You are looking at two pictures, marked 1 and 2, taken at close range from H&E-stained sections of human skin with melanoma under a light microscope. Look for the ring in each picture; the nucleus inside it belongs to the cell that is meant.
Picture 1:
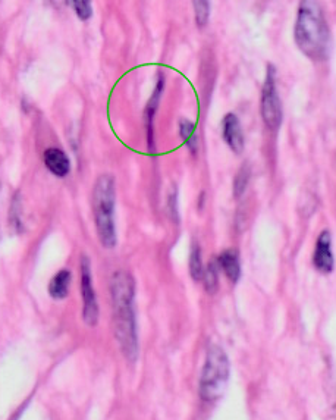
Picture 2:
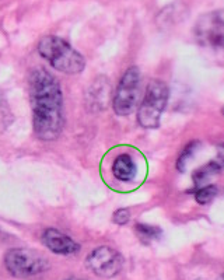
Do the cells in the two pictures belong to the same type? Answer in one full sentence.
No; the cell in picture 1 is a “fibroblast or myofibroblast”, while the one in picture 2 is a lymphocyte.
